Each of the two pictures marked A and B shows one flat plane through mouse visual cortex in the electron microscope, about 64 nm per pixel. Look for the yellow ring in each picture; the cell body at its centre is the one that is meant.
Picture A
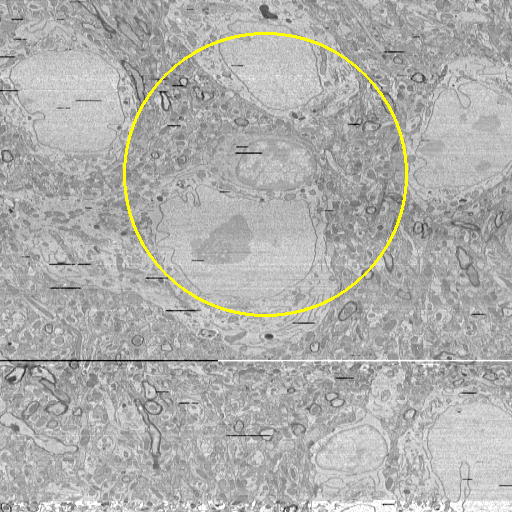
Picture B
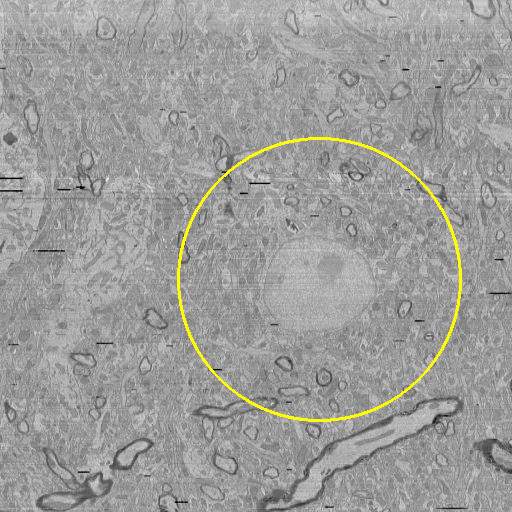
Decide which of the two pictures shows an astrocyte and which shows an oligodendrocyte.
In picture A the cell is an oligodendrocyte; in picture B, an astrocyte.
